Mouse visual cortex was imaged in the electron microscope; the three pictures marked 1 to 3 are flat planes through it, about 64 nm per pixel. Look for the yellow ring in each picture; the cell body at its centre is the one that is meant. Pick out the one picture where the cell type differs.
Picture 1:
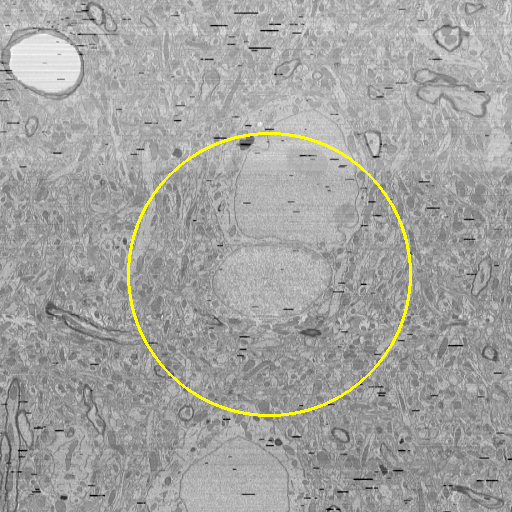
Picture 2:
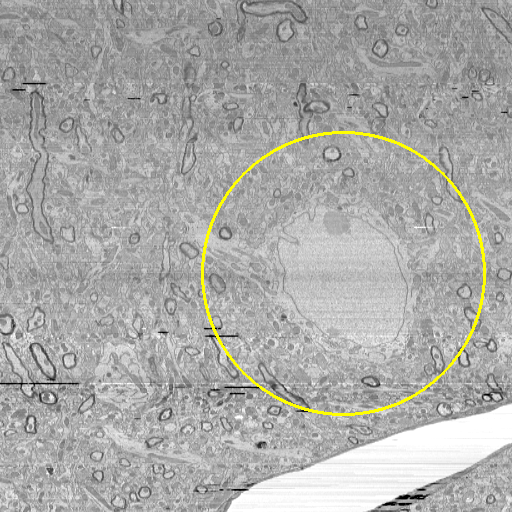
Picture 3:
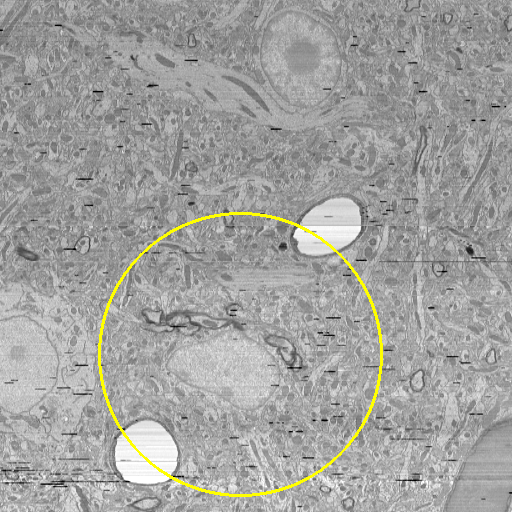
Picture 2 differs, because its cell is an excitatory neuron and the rest are astrocytes.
